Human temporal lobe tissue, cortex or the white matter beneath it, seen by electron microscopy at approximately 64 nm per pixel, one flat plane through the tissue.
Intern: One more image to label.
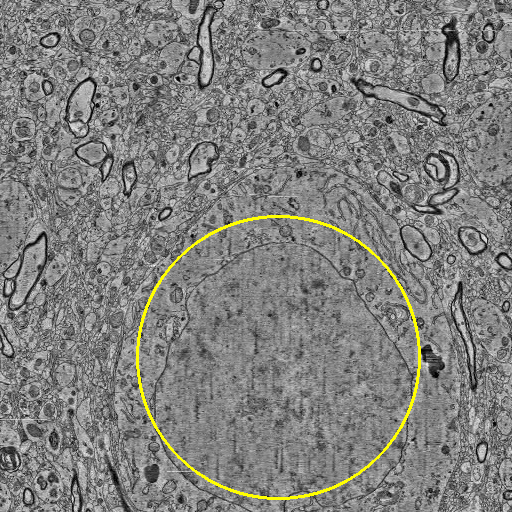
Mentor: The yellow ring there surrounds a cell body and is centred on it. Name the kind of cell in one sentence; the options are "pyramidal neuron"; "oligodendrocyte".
The ring marks the cell body of a pyramidal neuron.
